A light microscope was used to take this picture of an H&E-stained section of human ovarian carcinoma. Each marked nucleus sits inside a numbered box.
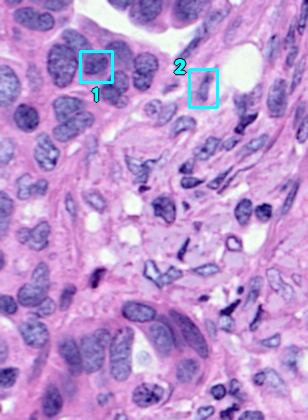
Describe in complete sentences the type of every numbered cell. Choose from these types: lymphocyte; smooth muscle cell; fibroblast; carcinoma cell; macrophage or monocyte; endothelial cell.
Cell 1 is a carcinoma cell. Cell 2 is a fibroblast.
